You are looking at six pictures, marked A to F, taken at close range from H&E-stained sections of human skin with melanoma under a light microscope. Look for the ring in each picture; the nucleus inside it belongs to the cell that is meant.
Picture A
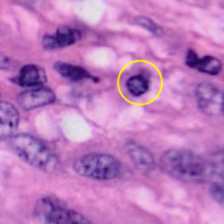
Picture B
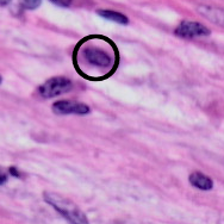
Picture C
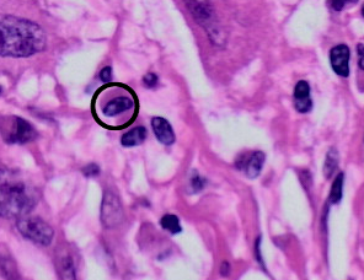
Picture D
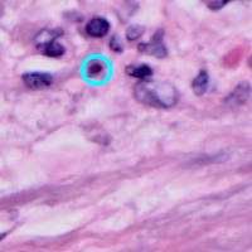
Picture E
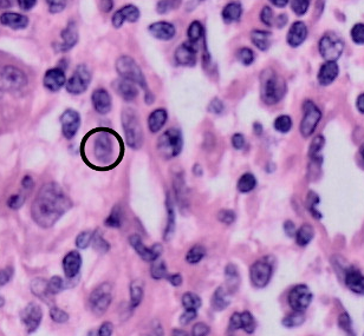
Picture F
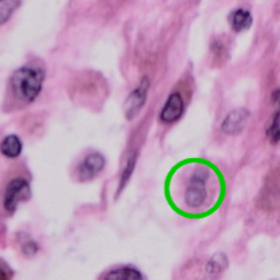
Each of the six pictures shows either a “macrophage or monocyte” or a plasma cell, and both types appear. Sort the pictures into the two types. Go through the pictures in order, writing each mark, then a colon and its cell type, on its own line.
A: plasma cell
B: plasma cell
C: plasma cell
D: plasma cell
E: macrophage or monocyte
F: macrophage or monocyte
